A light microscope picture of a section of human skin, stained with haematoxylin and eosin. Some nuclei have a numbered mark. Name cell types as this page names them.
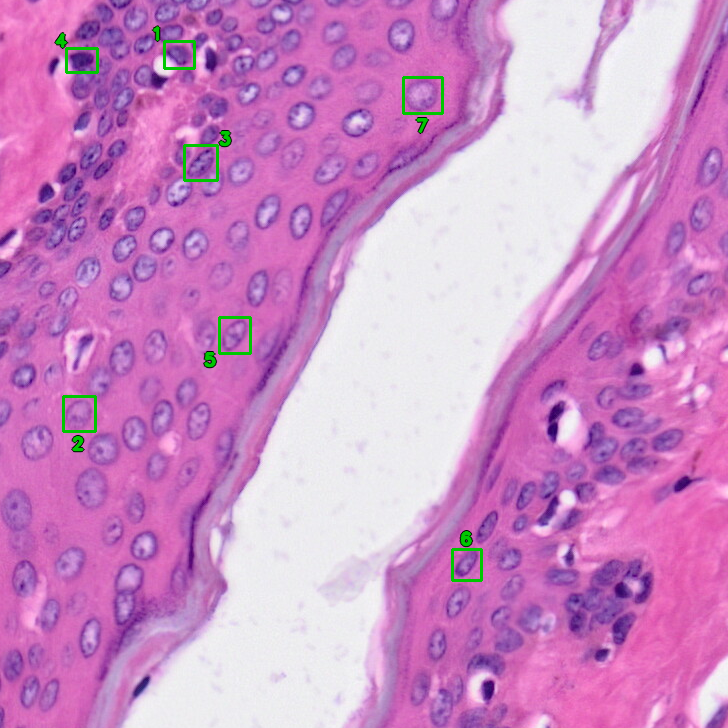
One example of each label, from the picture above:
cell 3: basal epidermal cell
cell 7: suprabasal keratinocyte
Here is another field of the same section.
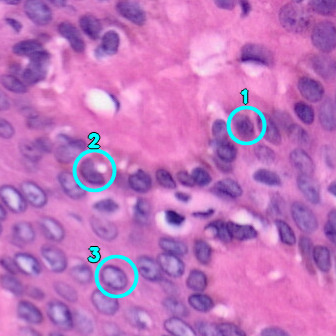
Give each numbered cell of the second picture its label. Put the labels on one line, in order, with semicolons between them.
basal epidermal cell; basal epidermal cell; suprabasal keratinocyte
